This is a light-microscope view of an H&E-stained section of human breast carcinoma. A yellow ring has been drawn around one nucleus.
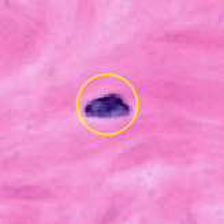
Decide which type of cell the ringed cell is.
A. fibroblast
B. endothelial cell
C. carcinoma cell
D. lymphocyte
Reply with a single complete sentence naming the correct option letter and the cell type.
Option D is correct here; the ringed cell is a lymphocyte.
